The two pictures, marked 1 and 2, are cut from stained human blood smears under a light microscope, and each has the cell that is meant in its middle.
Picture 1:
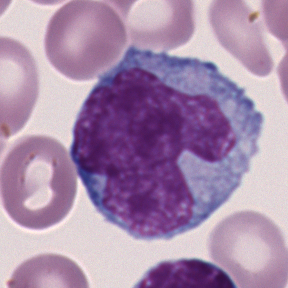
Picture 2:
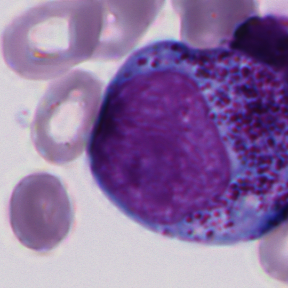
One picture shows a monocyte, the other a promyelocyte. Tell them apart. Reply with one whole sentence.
Picture 1 shows a monocyte and picture 2 shows a promyelocyte.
